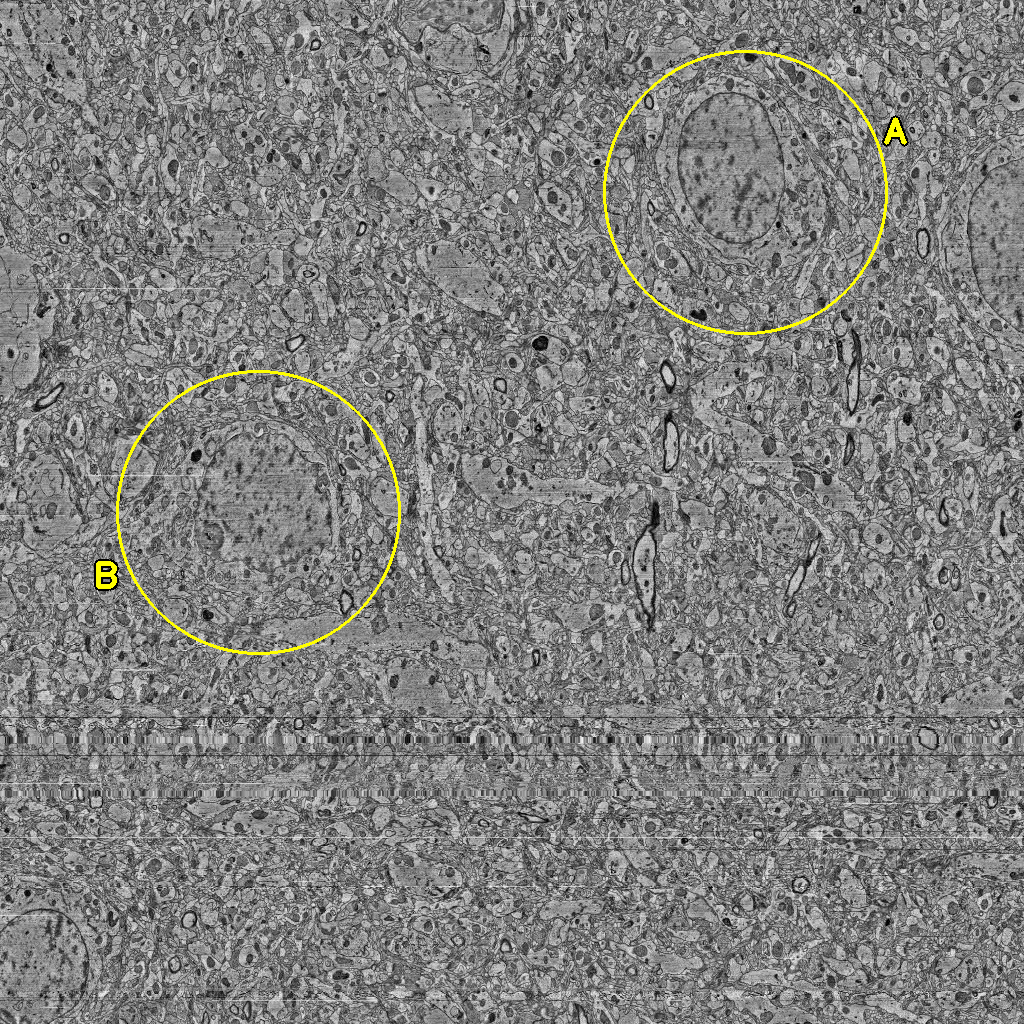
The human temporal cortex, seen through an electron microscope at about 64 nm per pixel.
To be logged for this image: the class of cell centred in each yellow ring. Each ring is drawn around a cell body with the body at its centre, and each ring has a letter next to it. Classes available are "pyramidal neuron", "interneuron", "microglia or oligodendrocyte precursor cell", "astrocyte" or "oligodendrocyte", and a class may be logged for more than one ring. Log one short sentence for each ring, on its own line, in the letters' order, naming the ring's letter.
The class recorded for ring A is a pyramidal neuron.
The class recorded for ring B is an interneuron.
